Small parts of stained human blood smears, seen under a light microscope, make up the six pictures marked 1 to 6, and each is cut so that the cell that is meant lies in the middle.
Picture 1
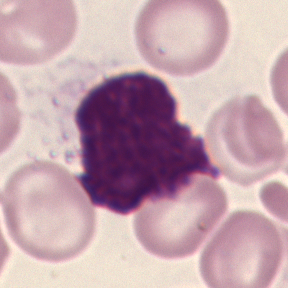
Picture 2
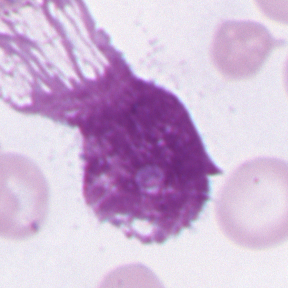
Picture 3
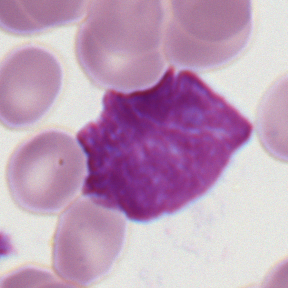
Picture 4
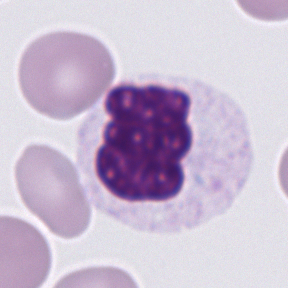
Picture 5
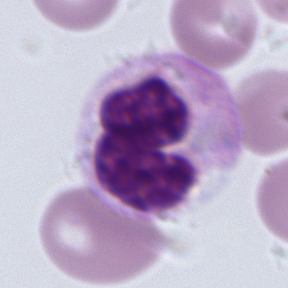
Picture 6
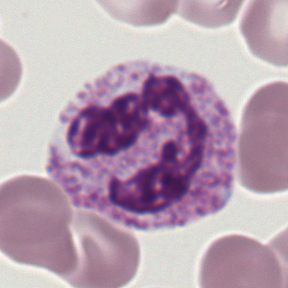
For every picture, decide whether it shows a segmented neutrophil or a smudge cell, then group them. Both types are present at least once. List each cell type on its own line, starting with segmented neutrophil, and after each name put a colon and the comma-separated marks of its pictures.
segmented neutrophil: 4, 5, 6
smudge cell: 1, 2, 3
